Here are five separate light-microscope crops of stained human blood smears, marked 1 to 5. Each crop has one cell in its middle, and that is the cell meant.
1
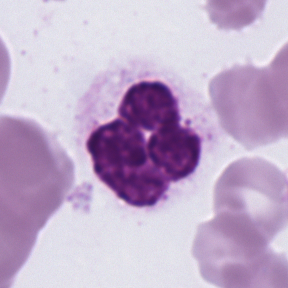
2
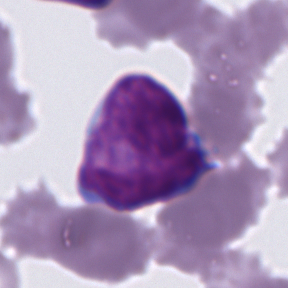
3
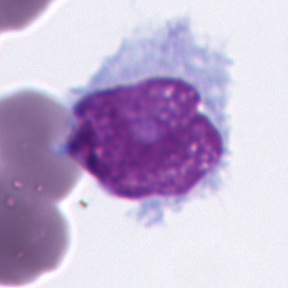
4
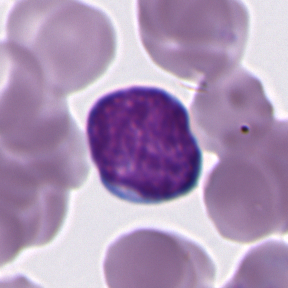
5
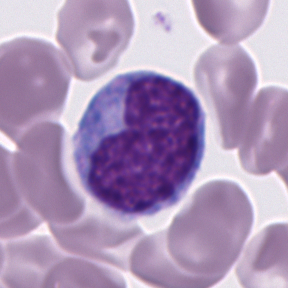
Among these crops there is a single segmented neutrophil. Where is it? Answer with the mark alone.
1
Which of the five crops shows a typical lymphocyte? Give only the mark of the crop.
4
